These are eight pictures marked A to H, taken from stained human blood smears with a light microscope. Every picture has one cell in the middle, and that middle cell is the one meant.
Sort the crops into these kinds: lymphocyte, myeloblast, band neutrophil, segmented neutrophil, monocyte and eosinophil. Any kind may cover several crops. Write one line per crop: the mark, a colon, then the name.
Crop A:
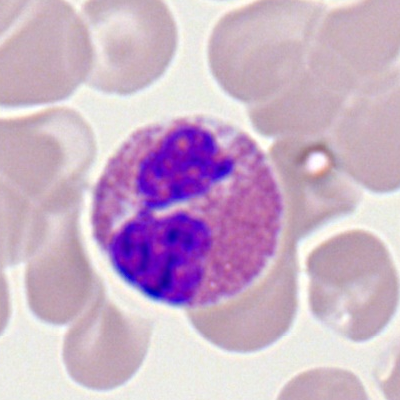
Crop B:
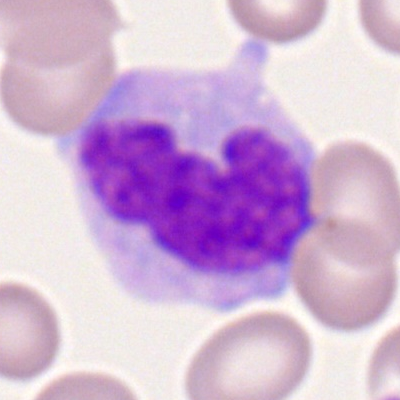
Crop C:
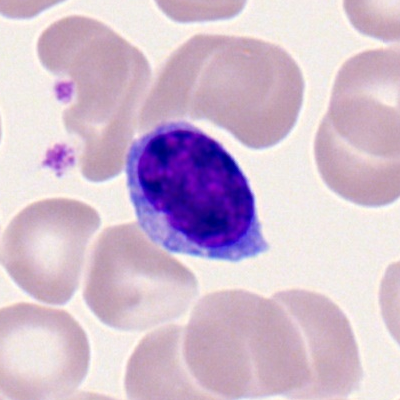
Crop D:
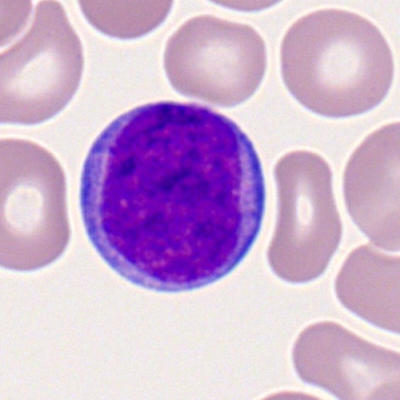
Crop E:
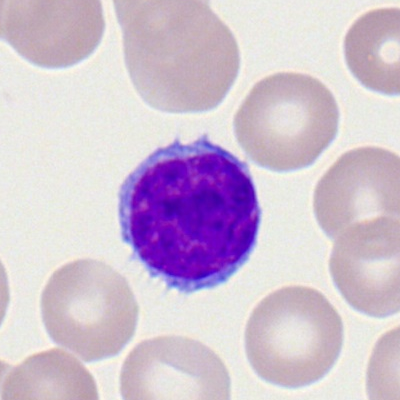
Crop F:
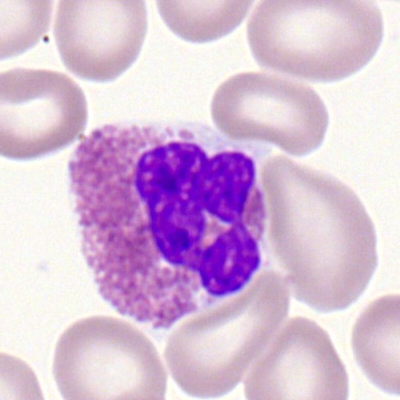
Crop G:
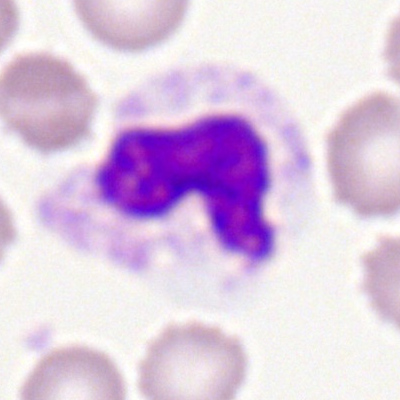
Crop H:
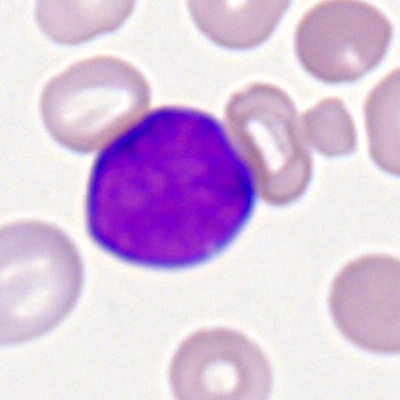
A: eosinophil
B: monocyte
C: lymphocyte
D: myeloblast
E: lymphocyte
F: eosinophil
G: band neutrophil
H: myeloblast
